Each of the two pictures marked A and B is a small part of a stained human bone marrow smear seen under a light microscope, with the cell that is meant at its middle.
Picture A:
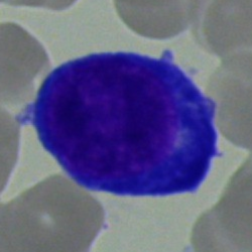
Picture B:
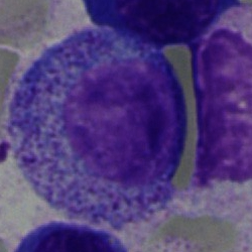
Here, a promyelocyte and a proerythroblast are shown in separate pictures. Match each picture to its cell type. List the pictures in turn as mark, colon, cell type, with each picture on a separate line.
A: proerythroblast
B: promyelocyte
